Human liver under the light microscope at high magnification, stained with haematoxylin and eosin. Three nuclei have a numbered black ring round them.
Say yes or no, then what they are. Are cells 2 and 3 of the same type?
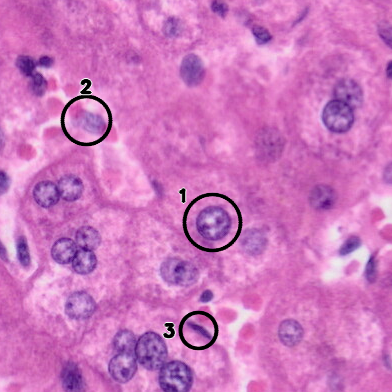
No, cell 3 is an endothelial cell, whereas cell 2 is a Kupffer cell.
